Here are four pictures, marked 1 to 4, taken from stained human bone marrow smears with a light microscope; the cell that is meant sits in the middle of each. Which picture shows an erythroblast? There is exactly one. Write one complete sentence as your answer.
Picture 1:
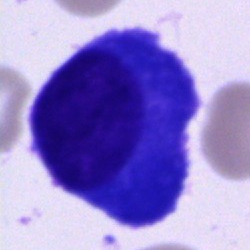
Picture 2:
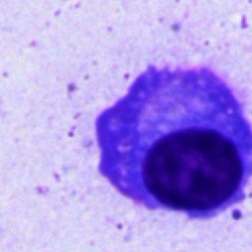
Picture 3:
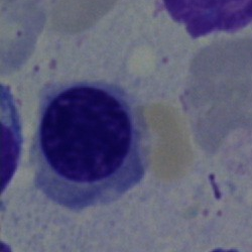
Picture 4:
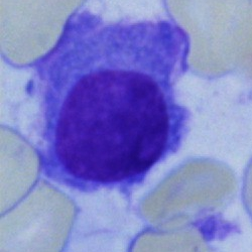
The erythroblast is the one in picture 3.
